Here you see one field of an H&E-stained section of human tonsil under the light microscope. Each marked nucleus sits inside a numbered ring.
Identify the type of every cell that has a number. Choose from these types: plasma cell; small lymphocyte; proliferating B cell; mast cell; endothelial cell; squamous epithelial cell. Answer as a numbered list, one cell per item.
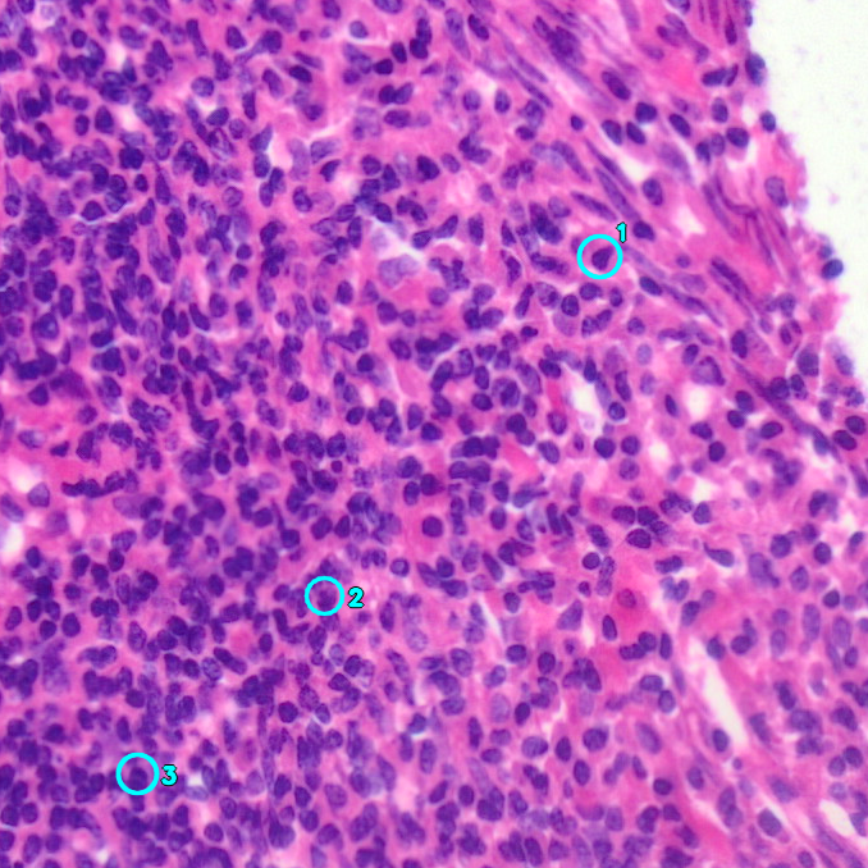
1. plasma cell
2. small lymphocyte
3. small lymphocyte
